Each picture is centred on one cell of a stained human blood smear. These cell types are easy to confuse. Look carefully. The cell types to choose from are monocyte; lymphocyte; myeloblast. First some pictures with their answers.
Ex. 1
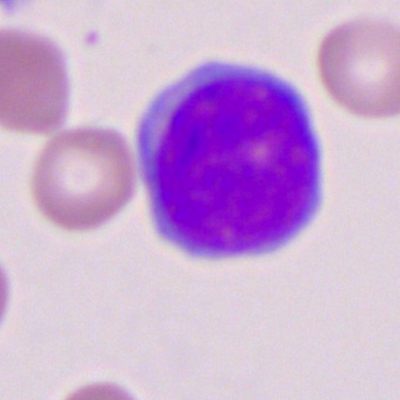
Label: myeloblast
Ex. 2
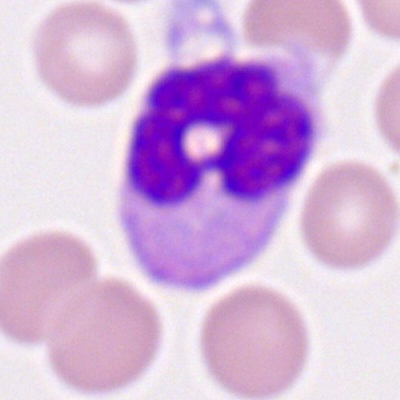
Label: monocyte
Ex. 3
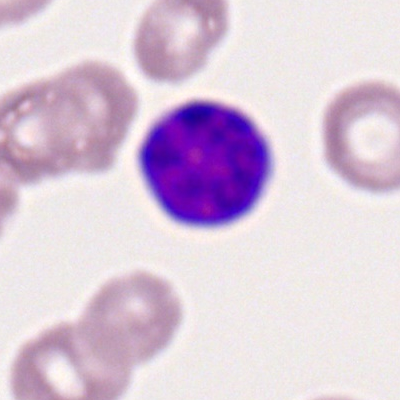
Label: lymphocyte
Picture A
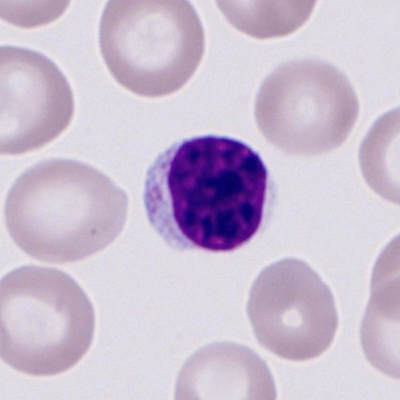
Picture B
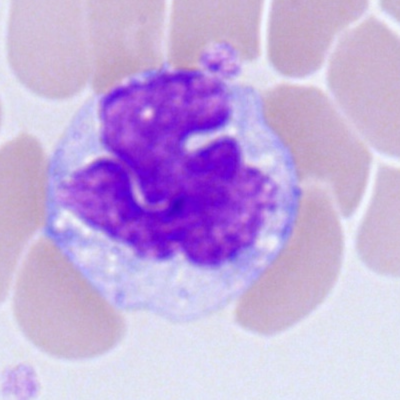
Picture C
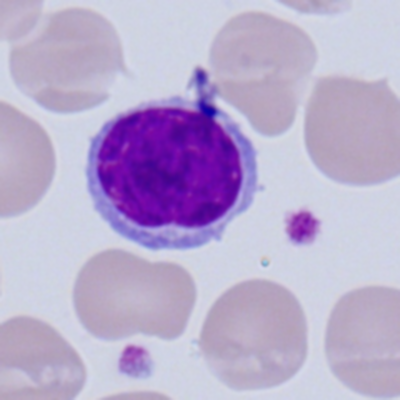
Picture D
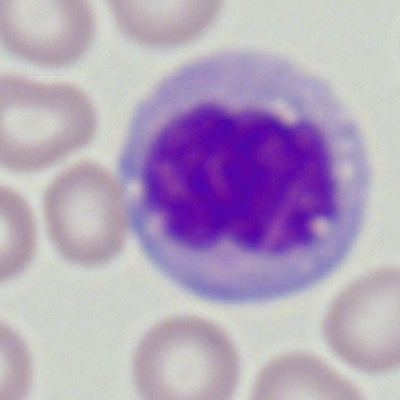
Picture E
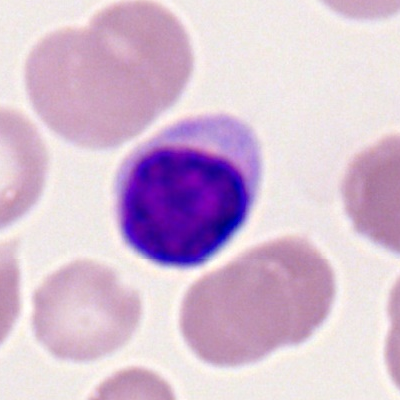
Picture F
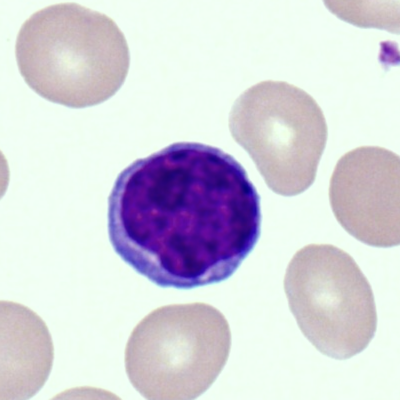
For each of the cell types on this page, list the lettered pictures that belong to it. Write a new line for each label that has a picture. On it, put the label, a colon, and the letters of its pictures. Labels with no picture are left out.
monocyte: B, D
lymphocyte: A, C, E, F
